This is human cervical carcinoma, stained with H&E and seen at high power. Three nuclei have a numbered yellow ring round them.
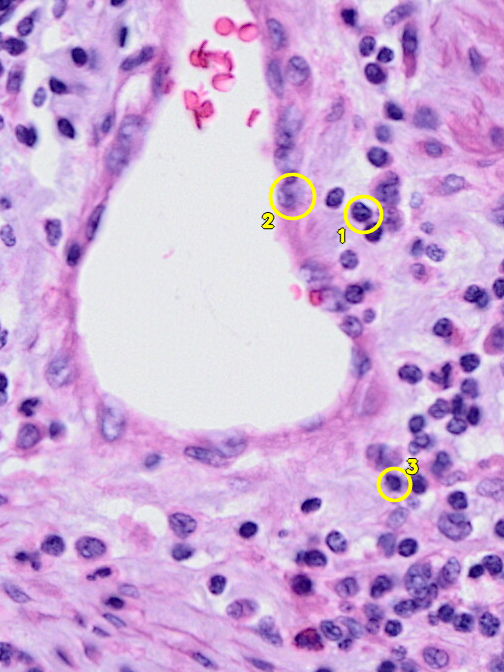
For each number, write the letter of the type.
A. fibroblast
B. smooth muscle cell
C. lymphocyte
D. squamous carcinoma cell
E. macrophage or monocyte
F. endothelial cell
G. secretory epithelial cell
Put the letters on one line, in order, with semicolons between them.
C; F; C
